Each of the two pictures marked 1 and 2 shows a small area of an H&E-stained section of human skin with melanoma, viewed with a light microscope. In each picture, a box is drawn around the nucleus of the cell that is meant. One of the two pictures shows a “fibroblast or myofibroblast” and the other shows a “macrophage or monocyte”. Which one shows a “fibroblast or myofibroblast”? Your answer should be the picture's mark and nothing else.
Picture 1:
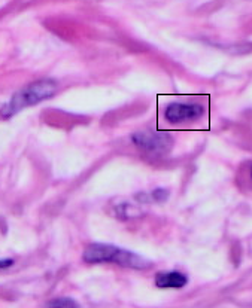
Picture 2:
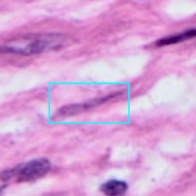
2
